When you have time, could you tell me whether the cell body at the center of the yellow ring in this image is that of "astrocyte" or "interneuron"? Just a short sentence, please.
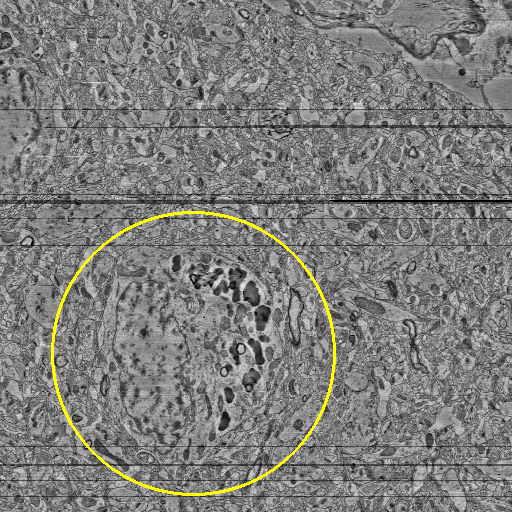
The cell body at the center of the ring is that of an interneuron.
